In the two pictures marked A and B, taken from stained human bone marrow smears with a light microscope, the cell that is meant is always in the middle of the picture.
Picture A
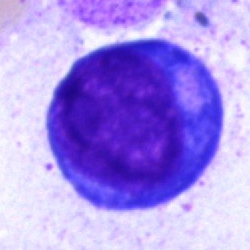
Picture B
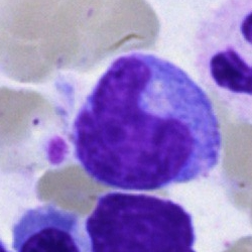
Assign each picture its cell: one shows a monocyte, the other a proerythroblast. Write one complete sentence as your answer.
The cell in picture A is a proerythroblast, and the one in picture B is a monocyte.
